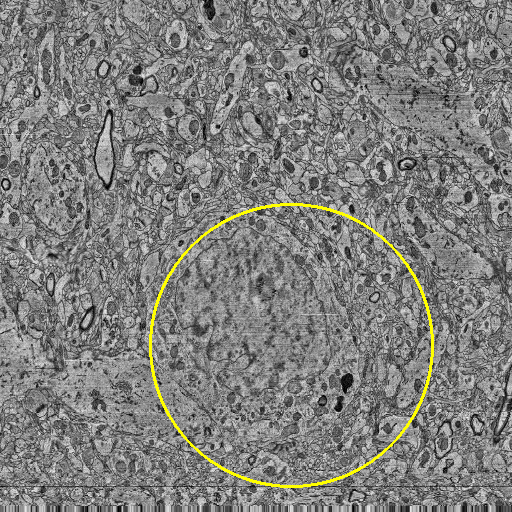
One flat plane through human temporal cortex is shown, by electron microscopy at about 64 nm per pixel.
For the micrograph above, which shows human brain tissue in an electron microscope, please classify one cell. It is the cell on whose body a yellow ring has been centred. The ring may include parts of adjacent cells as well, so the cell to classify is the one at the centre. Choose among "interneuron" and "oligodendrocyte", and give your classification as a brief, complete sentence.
I classify this cell as an interneuron.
